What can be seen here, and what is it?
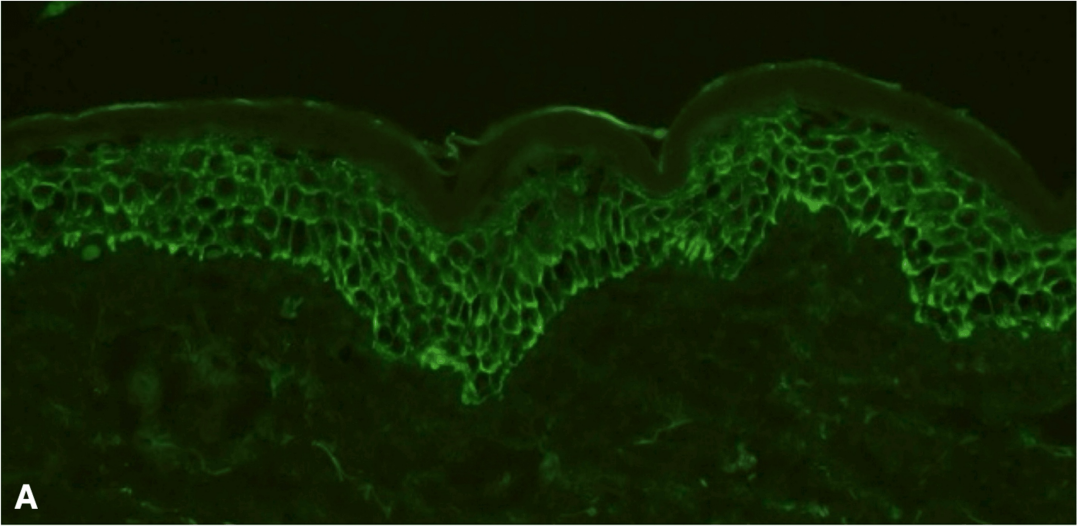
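This is a section of skin in which the green fluorescence sits in the spaces between the keratinocytes of the epidermis. It outlines each cell, so the epidermis looks like a fine chicken-wire net. The net runs through the full thickness of the living epidermis, from the basal layer up to beneath the surface. The thin stratified layer at the top is much fainter. The dermis below shows only faint background, and the cell interiors stay dark.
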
